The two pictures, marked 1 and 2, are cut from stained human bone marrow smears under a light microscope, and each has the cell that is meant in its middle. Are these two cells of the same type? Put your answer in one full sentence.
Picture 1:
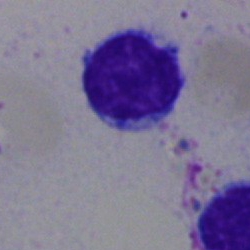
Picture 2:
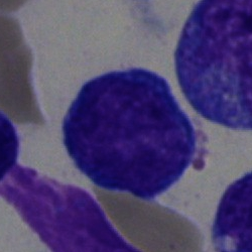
No. Picture 1 shows a lymphocyte, but picture 2 shows a blast.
